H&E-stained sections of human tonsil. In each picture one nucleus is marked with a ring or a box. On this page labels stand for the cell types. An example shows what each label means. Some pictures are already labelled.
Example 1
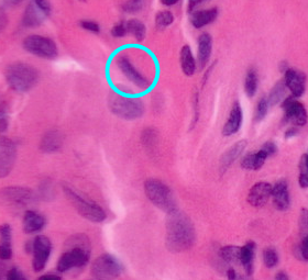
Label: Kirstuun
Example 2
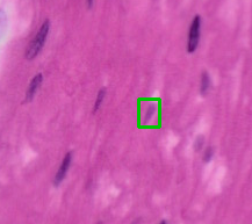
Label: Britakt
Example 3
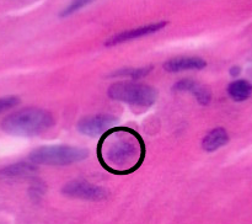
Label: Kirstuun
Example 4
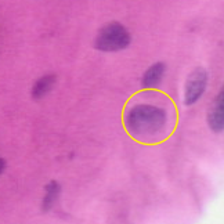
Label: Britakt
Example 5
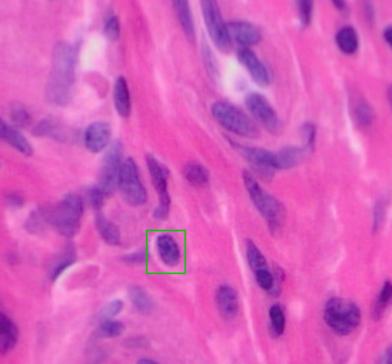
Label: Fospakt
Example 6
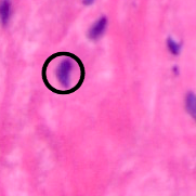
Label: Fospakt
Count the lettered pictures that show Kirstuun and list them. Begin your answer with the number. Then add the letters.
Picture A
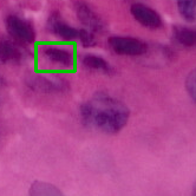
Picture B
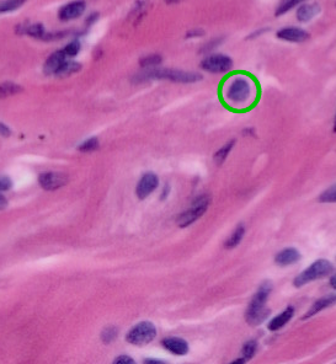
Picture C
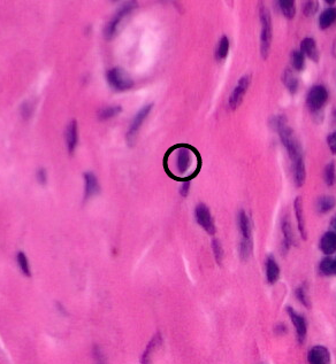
0, none of them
